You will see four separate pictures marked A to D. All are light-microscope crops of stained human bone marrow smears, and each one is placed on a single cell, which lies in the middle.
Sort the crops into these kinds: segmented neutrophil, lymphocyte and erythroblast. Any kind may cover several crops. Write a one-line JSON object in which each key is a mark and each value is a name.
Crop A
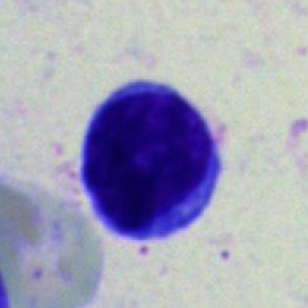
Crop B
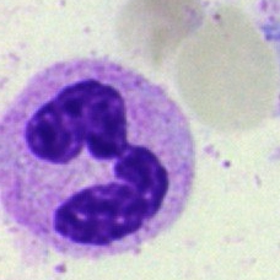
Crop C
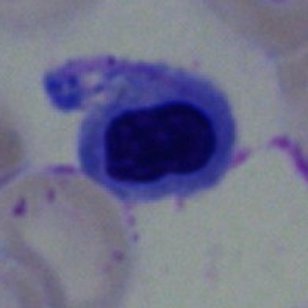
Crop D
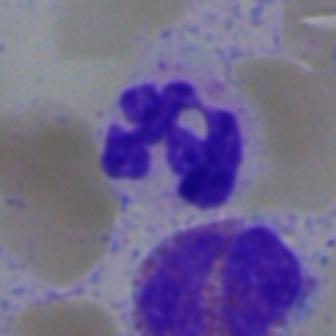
{"A": "lymphocyte", "B": "segmented neutrophil", "C": "erythroblast", "D": "segmented neutrophil"}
